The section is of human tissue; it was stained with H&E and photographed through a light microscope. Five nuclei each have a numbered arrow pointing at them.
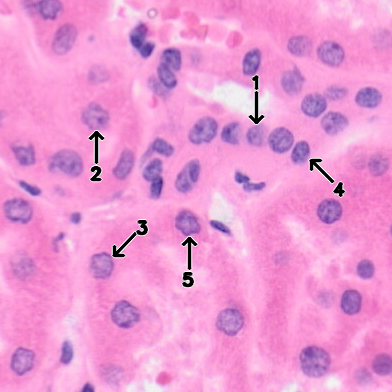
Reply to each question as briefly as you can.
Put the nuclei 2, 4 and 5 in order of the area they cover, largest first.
2, 5, 4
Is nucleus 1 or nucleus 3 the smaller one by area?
1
